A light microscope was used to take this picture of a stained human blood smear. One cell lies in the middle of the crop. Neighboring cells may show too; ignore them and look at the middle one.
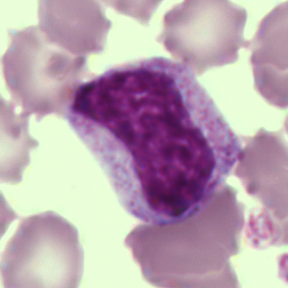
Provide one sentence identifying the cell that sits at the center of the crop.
In the middle of this smear crop is a metamyelocyte.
